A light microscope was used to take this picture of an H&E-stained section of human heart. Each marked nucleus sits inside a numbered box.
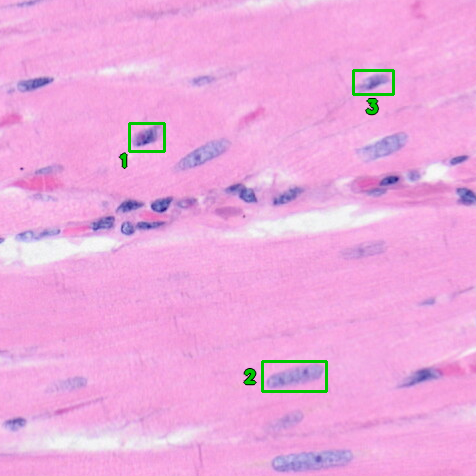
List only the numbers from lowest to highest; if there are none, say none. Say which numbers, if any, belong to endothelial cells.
1, 3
